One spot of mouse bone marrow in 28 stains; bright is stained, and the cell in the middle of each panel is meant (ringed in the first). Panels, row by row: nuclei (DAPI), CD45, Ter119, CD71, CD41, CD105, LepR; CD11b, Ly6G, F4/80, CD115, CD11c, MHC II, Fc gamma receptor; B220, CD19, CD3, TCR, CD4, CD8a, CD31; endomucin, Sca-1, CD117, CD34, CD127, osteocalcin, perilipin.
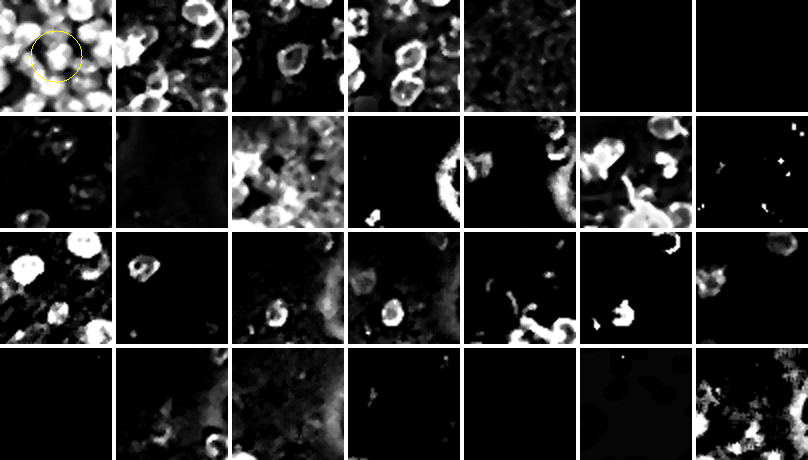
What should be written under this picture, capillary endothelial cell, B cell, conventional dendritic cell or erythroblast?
erythroblast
